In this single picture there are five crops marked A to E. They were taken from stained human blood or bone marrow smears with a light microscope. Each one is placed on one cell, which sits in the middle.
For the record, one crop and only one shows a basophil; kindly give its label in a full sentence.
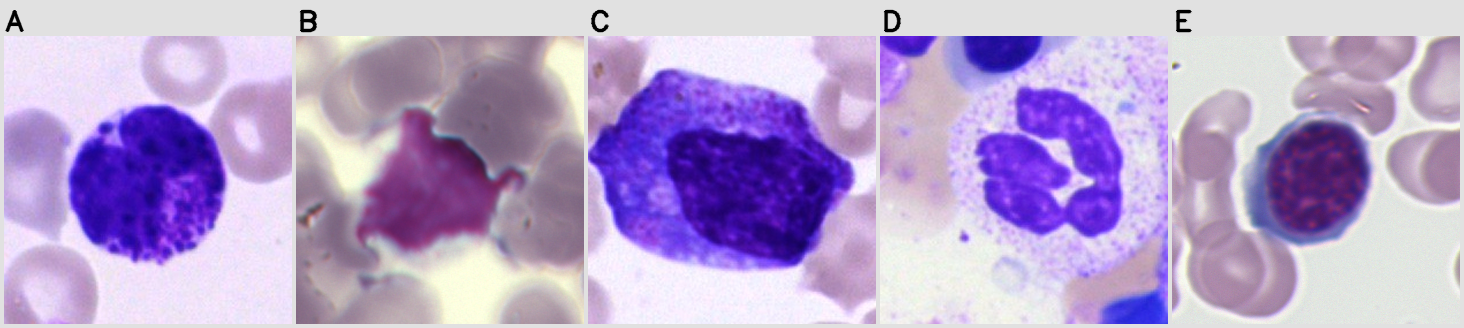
Of the labelled crops, the one that shows a basophil is crop A.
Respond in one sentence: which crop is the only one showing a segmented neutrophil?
The crop marked D is the one in which a segmented neutrophil is shown.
